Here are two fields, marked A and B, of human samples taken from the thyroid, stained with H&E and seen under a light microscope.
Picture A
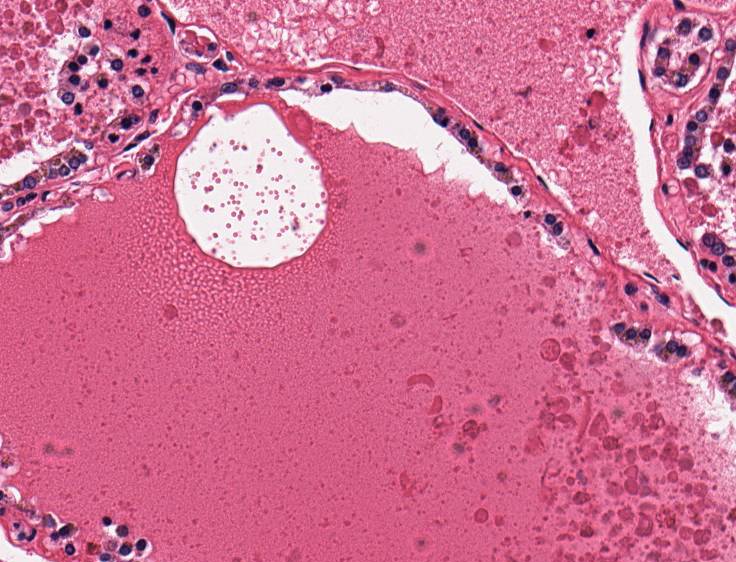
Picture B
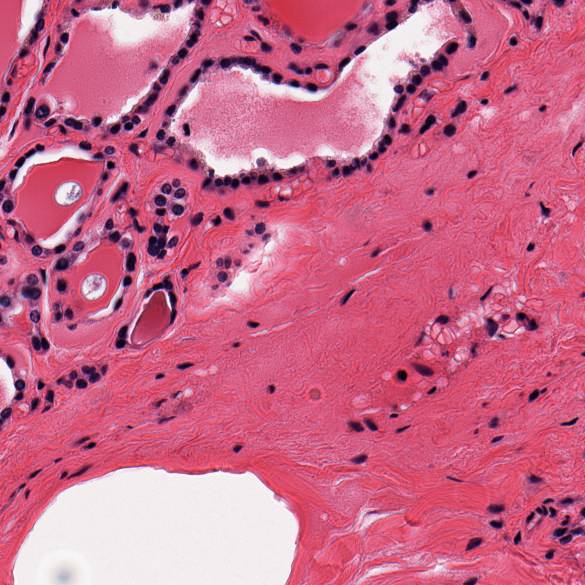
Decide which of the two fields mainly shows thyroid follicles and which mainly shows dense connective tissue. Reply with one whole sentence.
Picture A mainly shows thyroid follicles; picture B mainly shows dense connective tissue.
